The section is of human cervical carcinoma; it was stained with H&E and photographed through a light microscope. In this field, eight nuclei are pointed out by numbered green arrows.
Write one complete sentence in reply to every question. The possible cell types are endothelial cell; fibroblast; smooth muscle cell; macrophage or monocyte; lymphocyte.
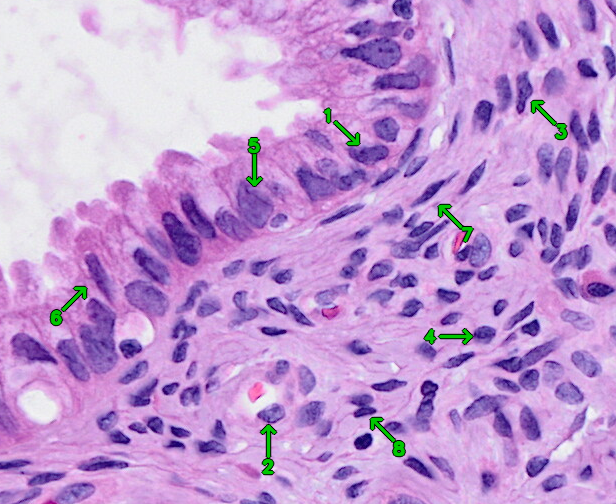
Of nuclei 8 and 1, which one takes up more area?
Nucleus 1 is the larger one, covering about 3 times the area of nucleus 8.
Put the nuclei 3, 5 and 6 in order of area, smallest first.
By area, going up from the smallest, they rank 3, 6, 5.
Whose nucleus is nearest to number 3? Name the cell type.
The nucleus nearest to number 3 is that of a fibroblast.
